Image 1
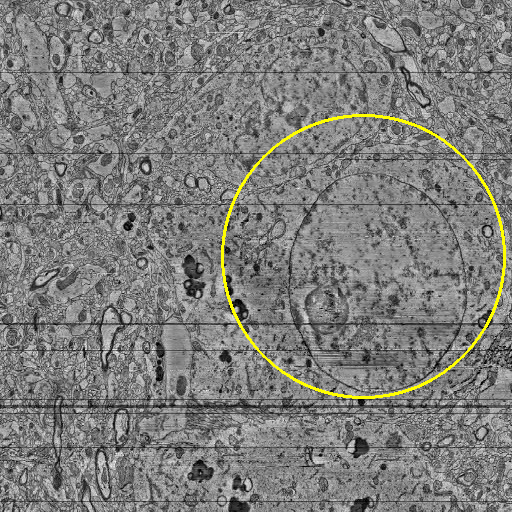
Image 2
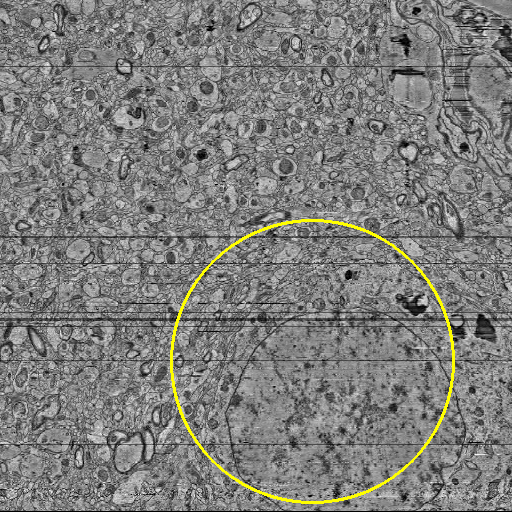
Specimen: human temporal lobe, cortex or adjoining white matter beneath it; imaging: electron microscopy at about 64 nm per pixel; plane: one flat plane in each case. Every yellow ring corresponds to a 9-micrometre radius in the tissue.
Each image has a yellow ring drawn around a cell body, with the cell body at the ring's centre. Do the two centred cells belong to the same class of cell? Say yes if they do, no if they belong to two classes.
yes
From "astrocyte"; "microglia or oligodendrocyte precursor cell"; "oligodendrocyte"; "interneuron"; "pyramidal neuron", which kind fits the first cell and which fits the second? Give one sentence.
Each cell at the centre of a ring is a pyramidal neuron.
